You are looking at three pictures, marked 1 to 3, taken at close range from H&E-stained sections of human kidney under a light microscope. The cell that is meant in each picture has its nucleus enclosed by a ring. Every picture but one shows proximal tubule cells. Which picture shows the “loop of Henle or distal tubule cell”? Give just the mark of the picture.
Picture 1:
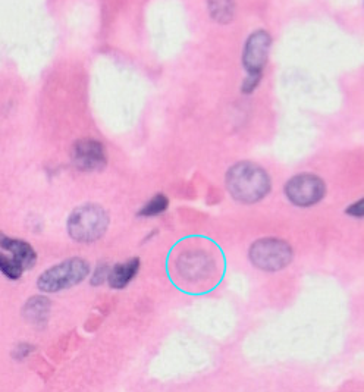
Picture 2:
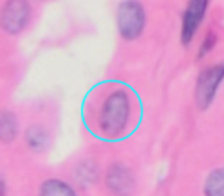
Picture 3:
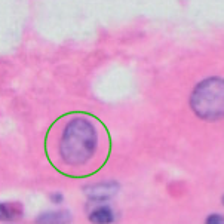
2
